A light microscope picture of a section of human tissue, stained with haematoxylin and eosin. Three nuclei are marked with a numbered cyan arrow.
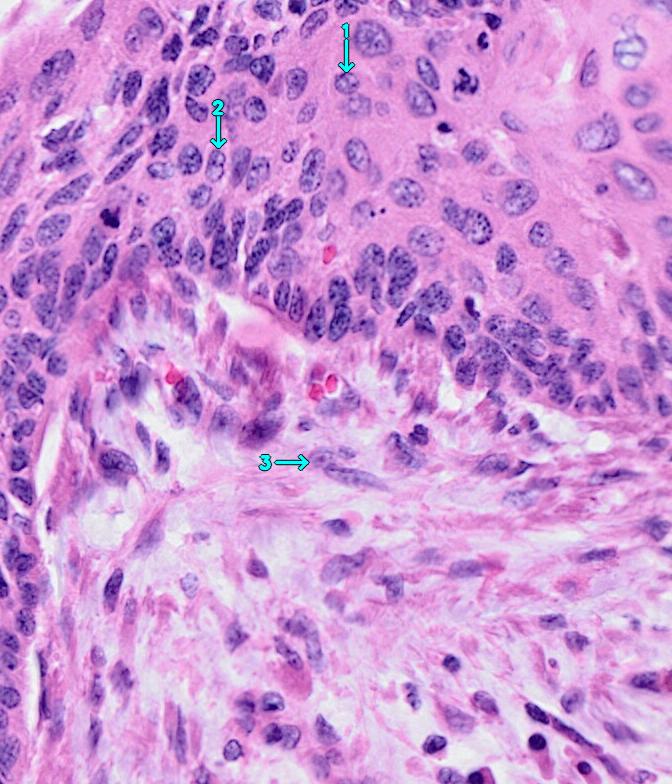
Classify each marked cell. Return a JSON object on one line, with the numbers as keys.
{"1": "squamous carcinoma cell", "2": "squamous carcinoma cell", "3": "fibroblast"}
